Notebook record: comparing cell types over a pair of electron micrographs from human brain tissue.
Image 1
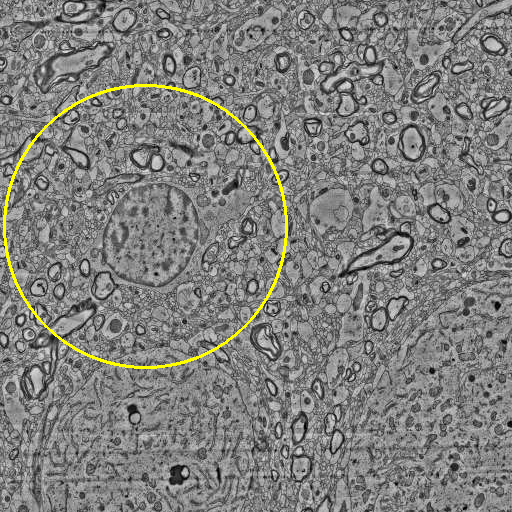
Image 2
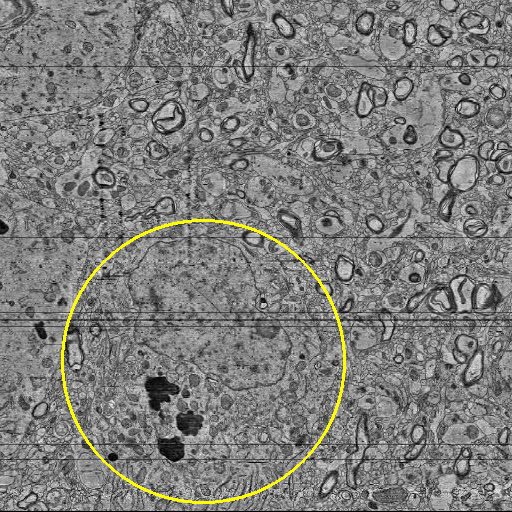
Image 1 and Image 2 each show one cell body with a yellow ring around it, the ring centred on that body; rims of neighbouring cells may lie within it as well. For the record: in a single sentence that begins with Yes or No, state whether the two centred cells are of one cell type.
No, two cell types are found among the centred cells of Image 1 and Image 2.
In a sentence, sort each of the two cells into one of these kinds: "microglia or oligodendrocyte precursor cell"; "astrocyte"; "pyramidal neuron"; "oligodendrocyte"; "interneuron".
The first of the two cells is an oligodendrocyte, and the second is an interneuron.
